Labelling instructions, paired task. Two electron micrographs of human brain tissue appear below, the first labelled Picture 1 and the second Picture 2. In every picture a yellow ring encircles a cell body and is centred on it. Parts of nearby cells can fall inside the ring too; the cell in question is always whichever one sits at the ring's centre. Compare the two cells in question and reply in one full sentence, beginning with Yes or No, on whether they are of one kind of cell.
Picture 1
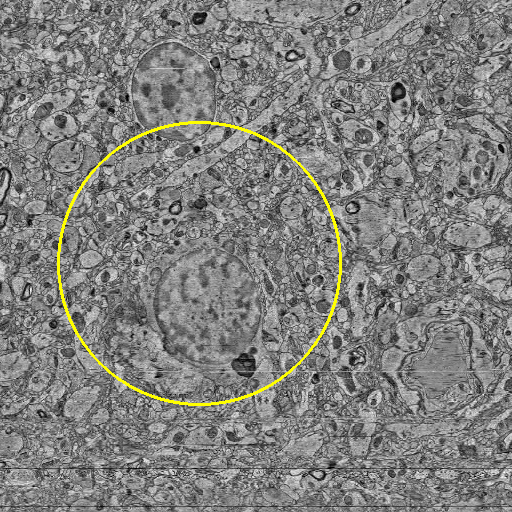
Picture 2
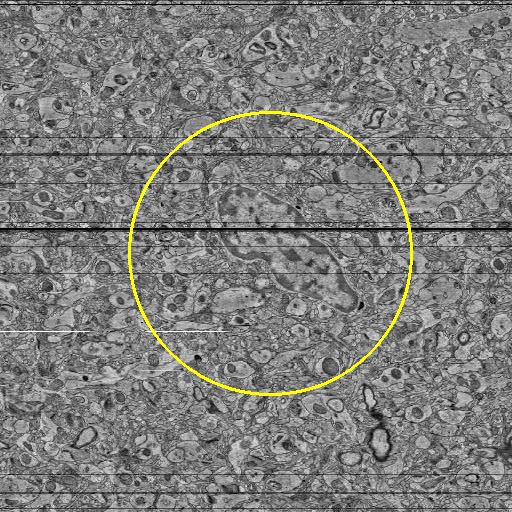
No, the two cells at the ring centres in Picture 1 and Picture 2 are of two kinds.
